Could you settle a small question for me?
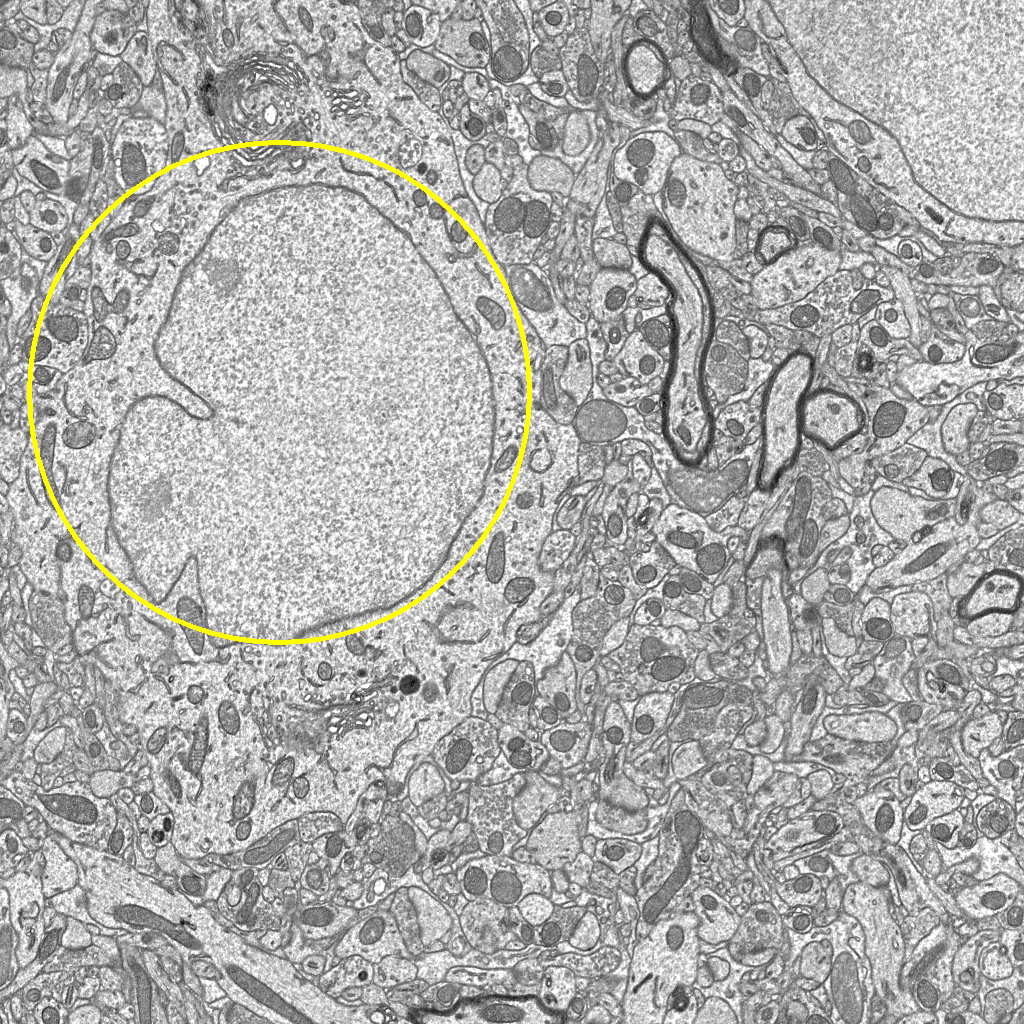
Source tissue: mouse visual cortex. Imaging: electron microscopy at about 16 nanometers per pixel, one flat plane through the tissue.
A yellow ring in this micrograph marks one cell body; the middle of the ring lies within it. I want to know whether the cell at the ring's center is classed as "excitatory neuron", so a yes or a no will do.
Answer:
yes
